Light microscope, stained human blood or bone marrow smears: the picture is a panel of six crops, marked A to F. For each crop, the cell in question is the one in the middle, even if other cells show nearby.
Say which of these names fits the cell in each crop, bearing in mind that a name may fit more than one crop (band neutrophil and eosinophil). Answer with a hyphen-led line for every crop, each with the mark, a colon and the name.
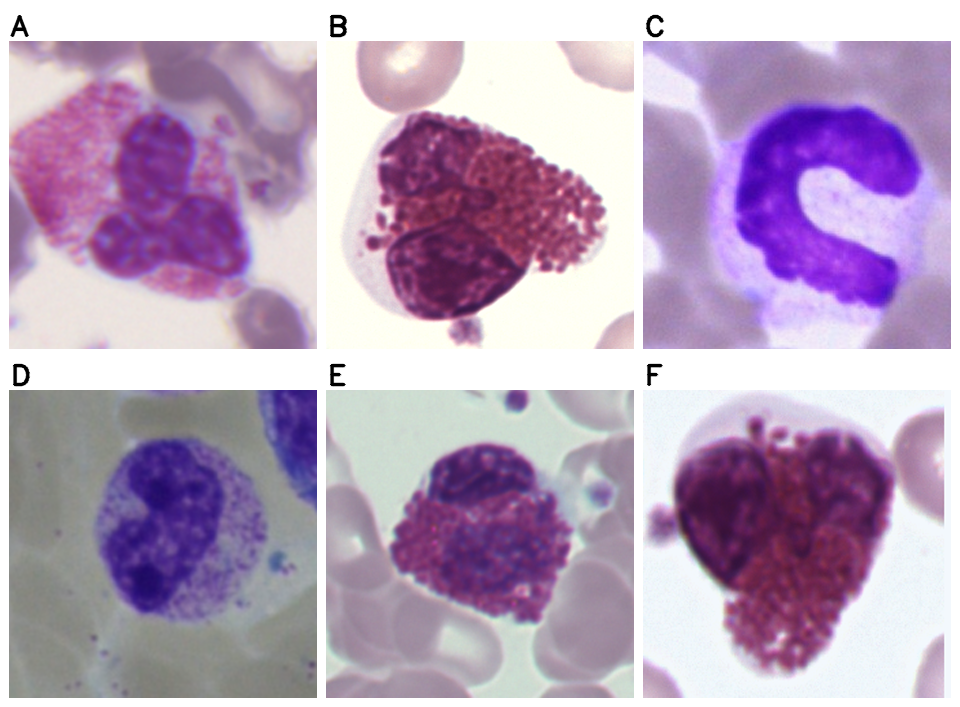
- A: eosinophil
- B: eosinophil
- C: band neutrophil
- D: band neutrophil
- E: eosinophil
- F: eosinophil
